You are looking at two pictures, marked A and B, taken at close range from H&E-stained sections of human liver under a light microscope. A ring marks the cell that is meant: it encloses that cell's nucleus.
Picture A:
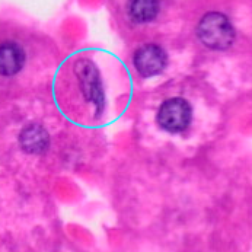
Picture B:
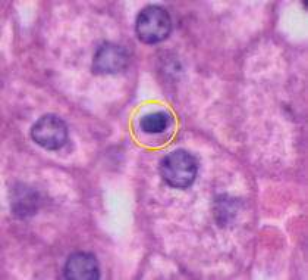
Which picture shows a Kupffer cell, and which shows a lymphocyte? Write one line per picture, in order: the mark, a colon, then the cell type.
A: Kupffer cell
B: lymphocyte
